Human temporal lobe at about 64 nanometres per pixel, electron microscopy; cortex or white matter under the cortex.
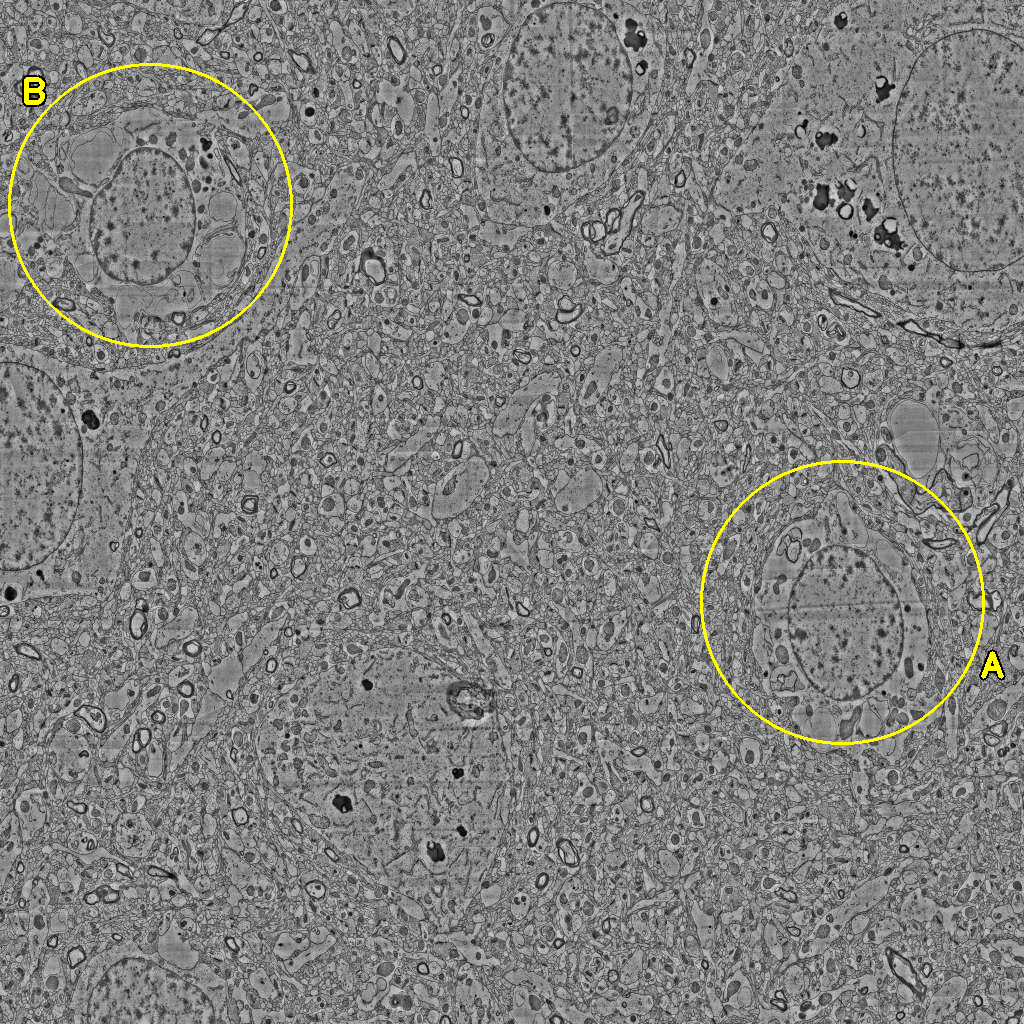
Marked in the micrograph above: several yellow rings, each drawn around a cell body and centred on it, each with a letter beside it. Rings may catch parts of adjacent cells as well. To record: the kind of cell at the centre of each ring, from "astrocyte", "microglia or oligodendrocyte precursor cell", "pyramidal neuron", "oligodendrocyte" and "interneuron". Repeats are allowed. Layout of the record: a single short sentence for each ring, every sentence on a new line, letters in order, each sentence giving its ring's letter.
At the centre of ring A lies an astrocyte.
At the centre of ring B lies an astrocyte.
